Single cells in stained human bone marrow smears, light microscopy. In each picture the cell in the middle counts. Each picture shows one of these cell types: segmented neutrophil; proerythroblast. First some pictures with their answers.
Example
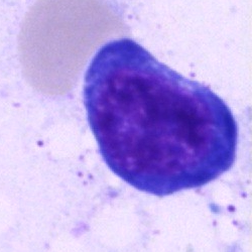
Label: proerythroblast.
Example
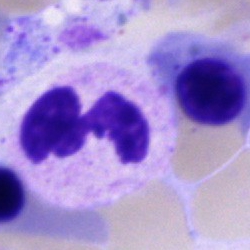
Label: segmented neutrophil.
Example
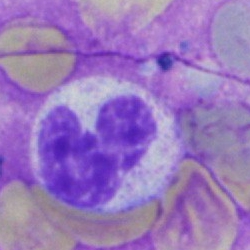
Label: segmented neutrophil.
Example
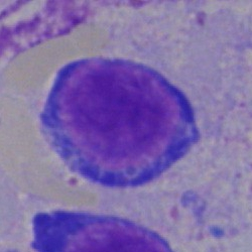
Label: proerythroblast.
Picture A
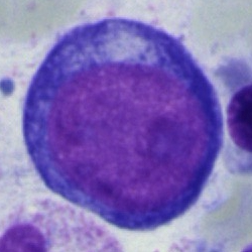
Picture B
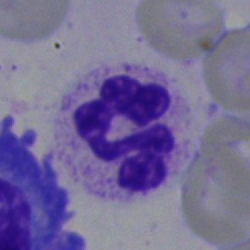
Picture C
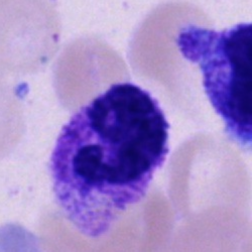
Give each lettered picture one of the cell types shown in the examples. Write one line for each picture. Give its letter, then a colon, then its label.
A: proerythroblast.
B: segmented neutrophil.
C: segmented neutrophil.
